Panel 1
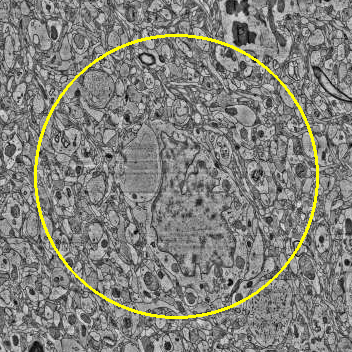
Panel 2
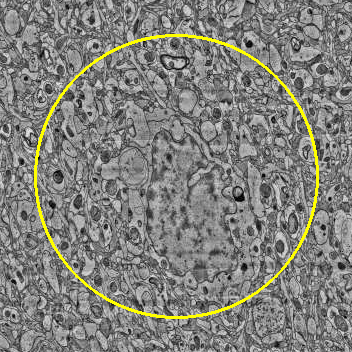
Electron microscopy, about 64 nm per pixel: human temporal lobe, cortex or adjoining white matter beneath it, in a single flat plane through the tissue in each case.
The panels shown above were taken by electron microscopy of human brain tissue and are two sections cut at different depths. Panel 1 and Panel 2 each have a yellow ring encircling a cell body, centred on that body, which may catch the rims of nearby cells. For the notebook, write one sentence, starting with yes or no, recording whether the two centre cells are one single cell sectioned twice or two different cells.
Yes, the rings do not mark different cells but one cell.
